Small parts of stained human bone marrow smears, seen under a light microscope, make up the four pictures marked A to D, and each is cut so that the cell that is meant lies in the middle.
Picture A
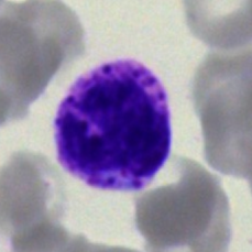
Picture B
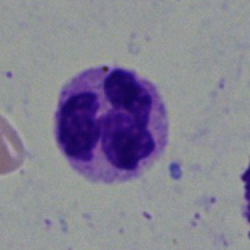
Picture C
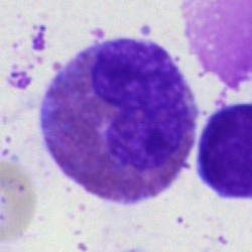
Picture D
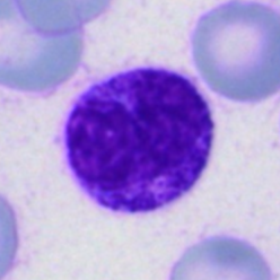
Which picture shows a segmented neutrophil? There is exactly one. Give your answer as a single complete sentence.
Picture B shows the segmented neutrophil.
